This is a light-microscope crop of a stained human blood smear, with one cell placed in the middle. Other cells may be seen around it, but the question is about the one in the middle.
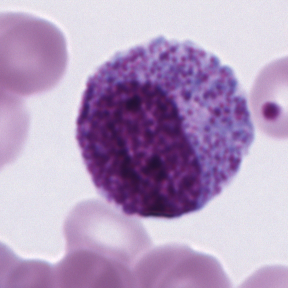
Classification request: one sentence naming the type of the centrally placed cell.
The cell under consideration, at the middle of the crop, is a promyelocyte.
